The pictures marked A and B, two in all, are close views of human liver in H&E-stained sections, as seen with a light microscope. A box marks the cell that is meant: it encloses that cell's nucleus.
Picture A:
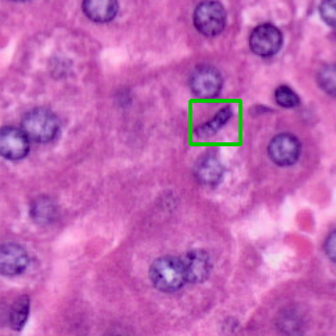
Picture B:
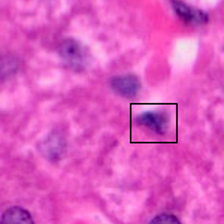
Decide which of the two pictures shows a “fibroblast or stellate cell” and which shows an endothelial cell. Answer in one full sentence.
It is picture A that shows a “fibroblast or stellate cell”, and picture B that shows an endothelial cell.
